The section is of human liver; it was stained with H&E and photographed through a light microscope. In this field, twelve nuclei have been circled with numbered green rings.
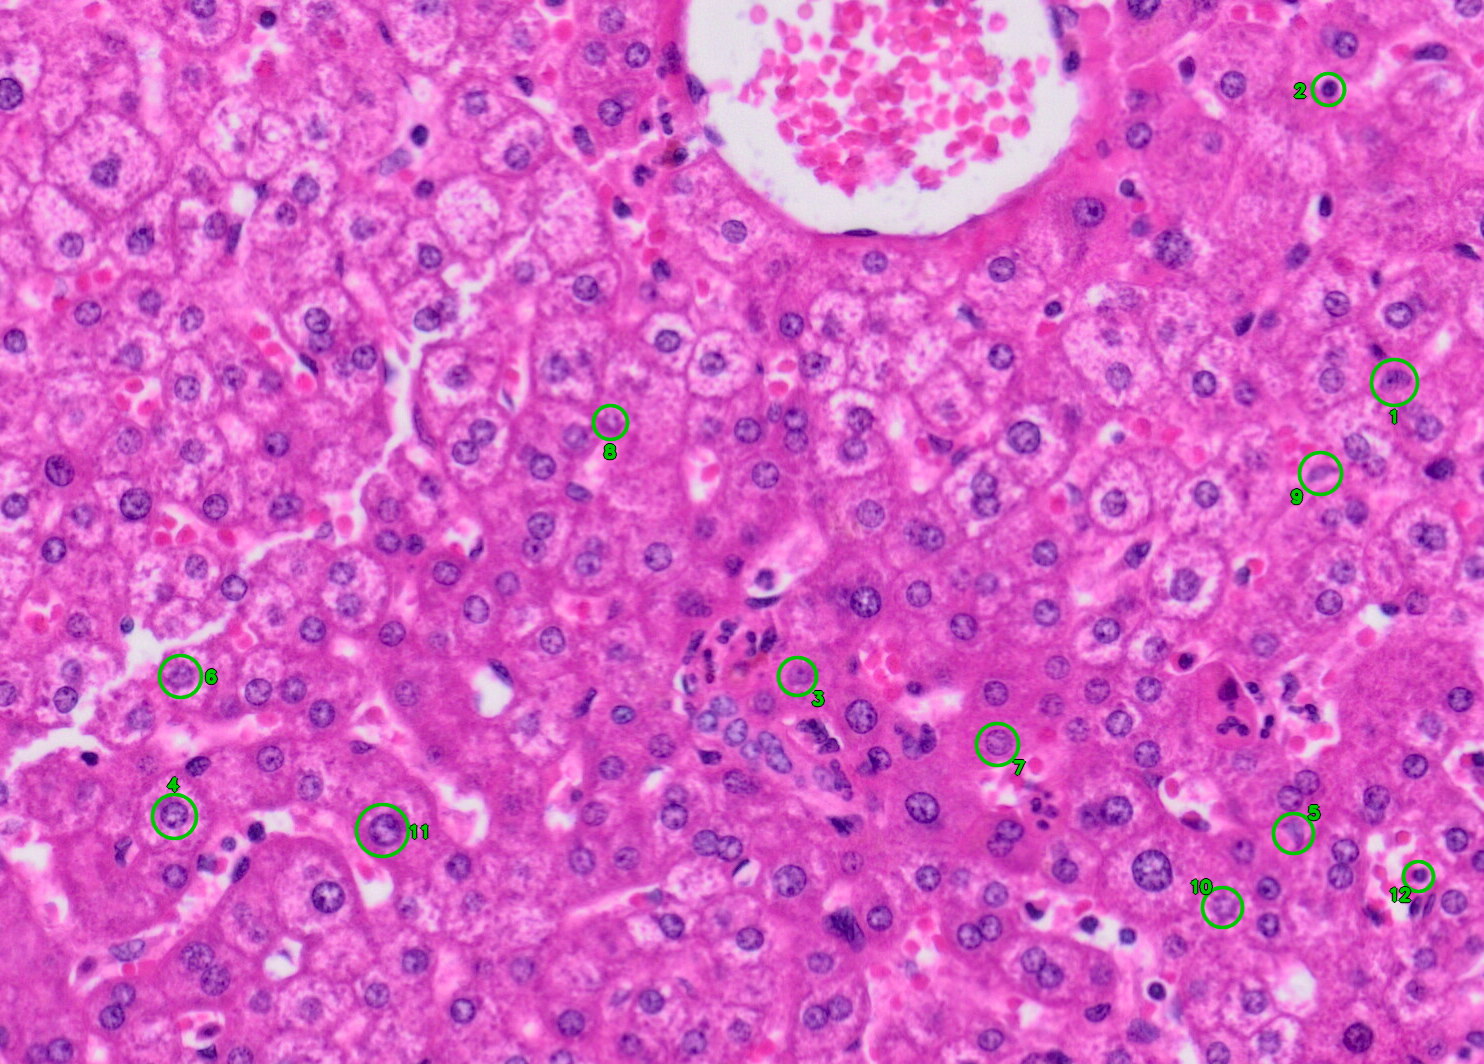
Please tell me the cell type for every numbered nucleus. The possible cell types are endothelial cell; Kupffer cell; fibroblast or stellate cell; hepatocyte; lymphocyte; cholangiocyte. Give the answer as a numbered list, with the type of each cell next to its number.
1. Kupffer cell
2. lymphocyte
3. hepatocyte
4. hepatocyte
5. endothelial cell
6. hepatocyte
7. hepatocyte
8. hepatocyte
9. Kupffer cell
10. hepatocyte
11. hepatocyte
12. lymphocyte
